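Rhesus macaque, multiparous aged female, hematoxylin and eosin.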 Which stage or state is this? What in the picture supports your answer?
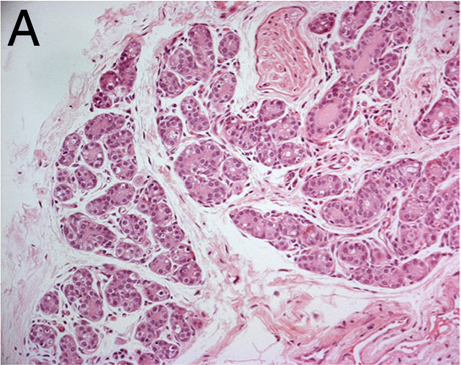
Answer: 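Small acini with little or no open lumen. Lobules separated by broad pale fibrous stroma. No secretory material within the acini. That points to this answer: non-lactating.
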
